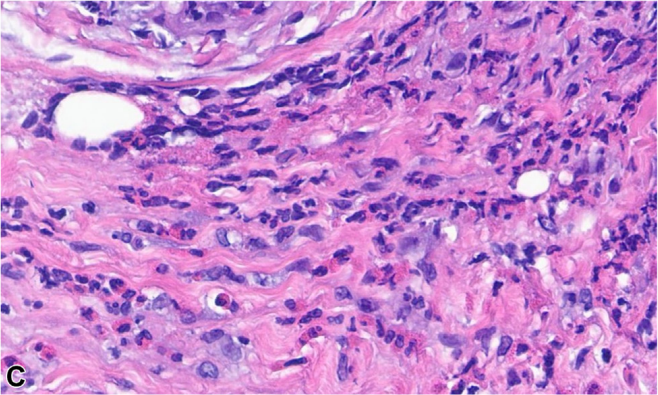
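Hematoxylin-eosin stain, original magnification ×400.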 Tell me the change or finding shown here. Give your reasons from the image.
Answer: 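Pink-red granular cells lie scattered among collagen fibres. Pink granular material appears spread out around cells rather than held in a compact cytoplasm.
Eosinophils degranulating.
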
